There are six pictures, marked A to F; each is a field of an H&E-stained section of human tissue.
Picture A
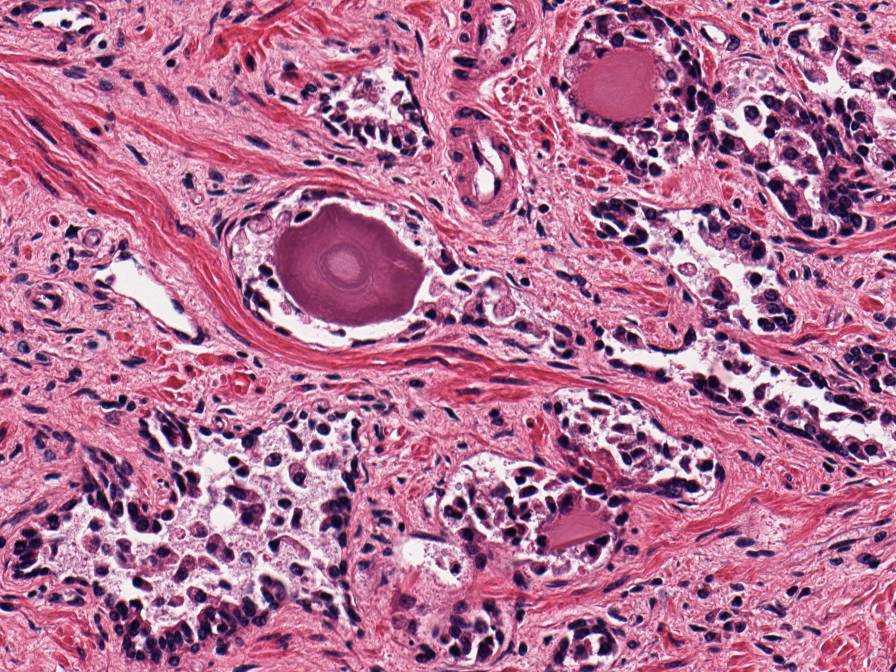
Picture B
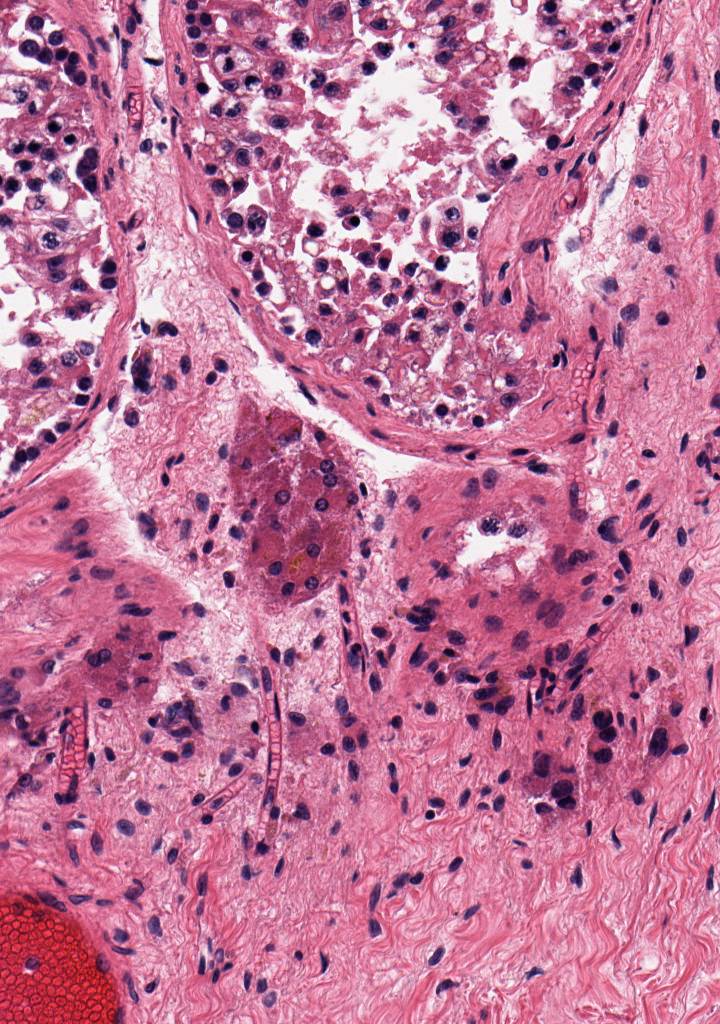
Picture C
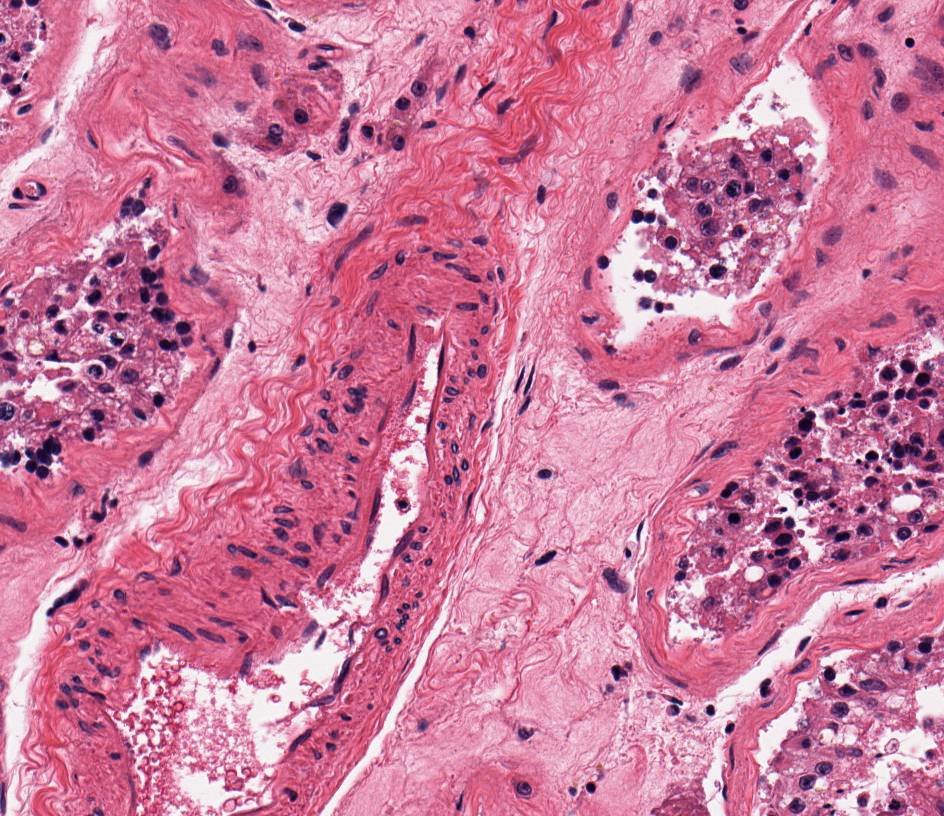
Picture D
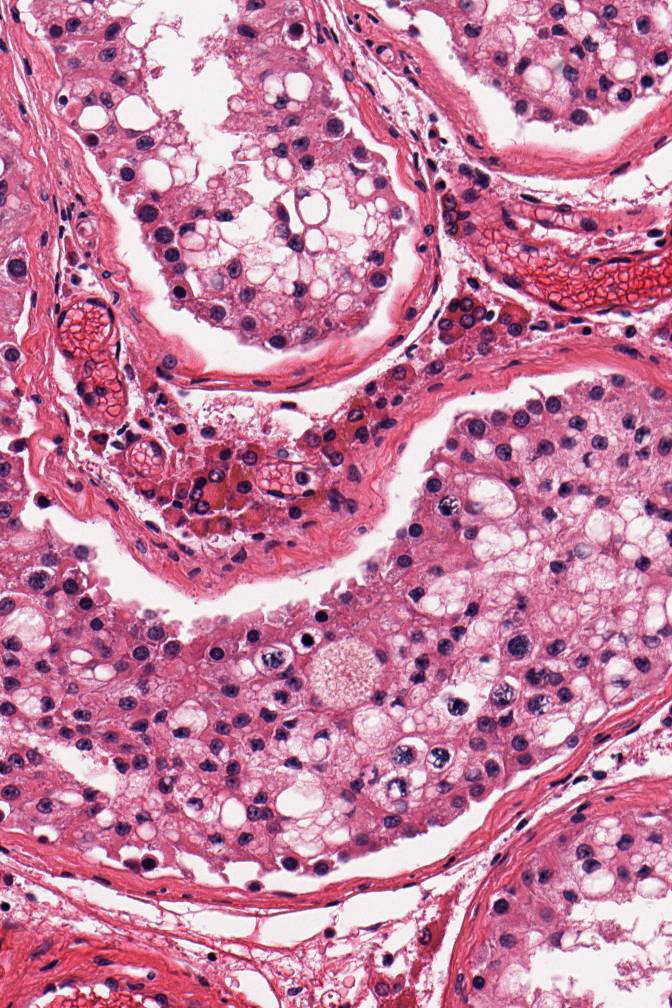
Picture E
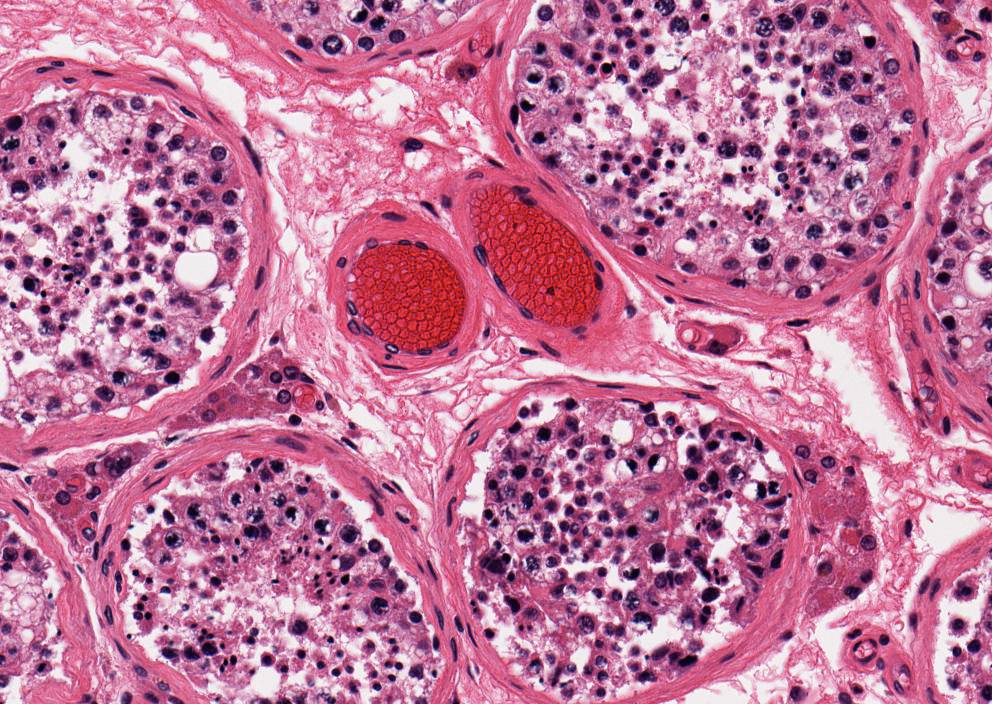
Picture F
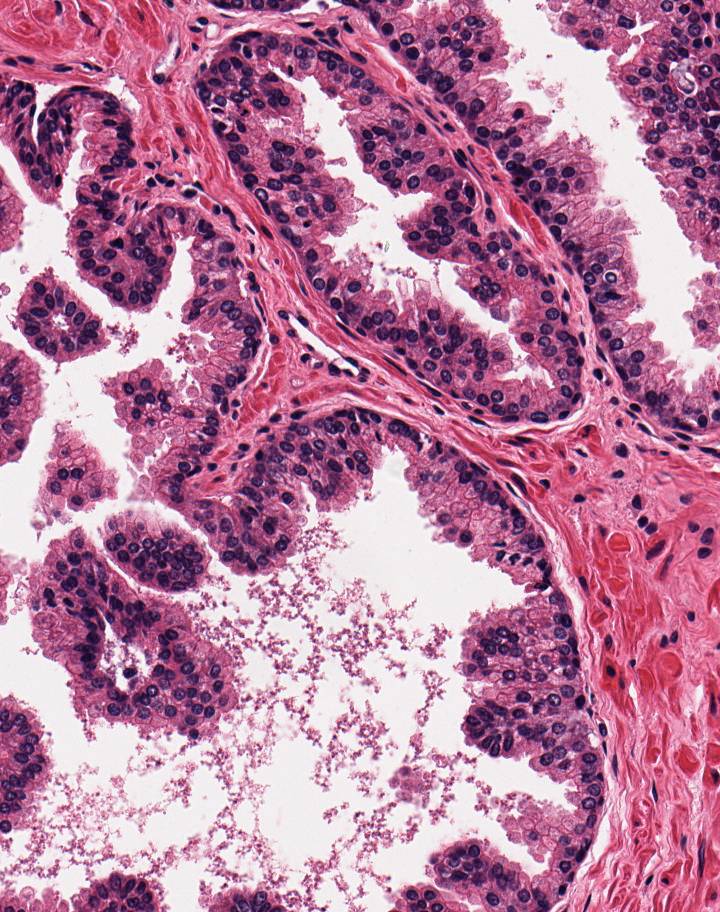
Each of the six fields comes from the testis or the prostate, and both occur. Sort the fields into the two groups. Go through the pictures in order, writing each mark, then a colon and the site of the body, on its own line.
A: prostate
B: testis
C: testis
D: testis
E: testis
F: prostate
